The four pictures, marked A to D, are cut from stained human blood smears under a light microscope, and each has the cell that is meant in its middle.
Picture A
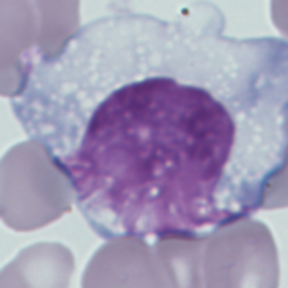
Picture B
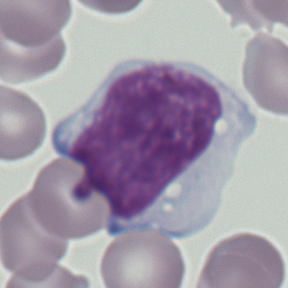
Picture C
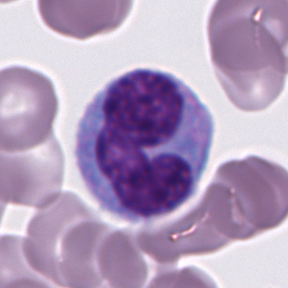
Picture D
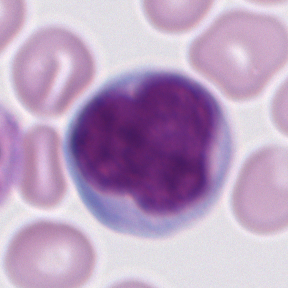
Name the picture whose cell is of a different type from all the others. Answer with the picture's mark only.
B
